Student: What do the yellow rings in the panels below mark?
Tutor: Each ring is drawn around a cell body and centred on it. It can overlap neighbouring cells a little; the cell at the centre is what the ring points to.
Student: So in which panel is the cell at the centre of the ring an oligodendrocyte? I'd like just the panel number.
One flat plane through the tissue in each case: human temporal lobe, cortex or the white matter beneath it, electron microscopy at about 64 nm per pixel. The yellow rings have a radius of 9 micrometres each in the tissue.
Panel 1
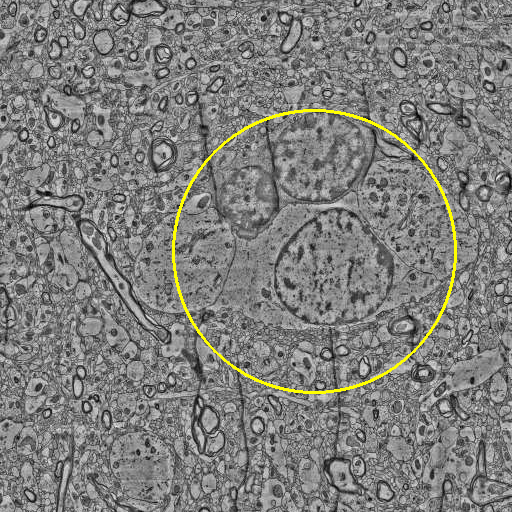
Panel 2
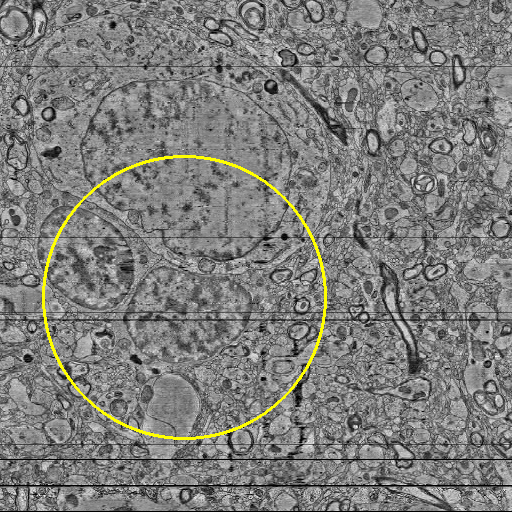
2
